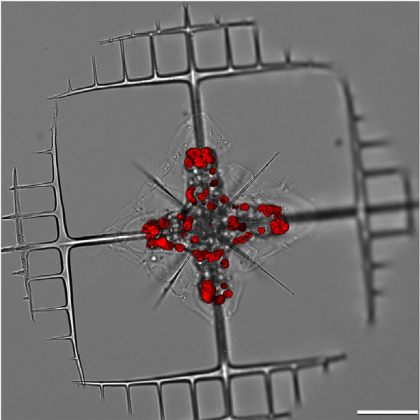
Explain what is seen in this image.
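This is a single large acantharian cell seen in bright-field, with long straight spines radiating outward from its centre in a cross-like pattern. The spines carry regular ladder-like side bars toward their ends, forming a lattice around the cell.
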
